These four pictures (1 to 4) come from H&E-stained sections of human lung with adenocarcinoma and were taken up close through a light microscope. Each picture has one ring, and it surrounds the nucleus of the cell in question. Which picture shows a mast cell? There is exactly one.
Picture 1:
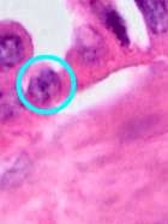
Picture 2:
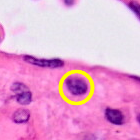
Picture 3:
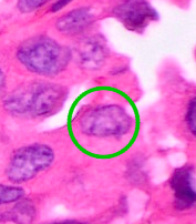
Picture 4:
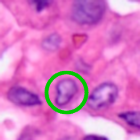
2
